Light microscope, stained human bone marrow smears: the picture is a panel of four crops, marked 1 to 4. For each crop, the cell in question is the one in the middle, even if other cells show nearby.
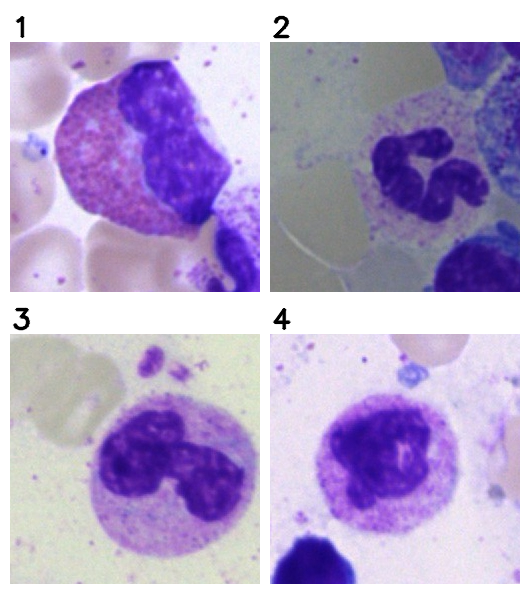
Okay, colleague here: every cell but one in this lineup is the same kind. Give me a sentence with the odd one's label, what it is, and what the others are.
The rest of the crops show neutrophils; crop 1 is the one showing an eosinophil.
